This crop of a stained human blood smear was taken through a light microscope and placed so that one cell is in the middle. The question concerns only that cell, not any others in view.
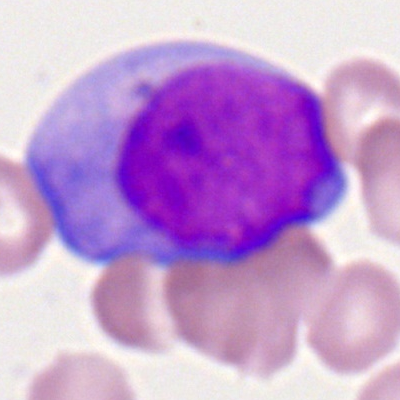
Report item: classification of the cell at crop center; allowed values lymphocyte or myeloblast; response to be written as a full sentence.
In the middle of this smear crop is a myeloblast.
